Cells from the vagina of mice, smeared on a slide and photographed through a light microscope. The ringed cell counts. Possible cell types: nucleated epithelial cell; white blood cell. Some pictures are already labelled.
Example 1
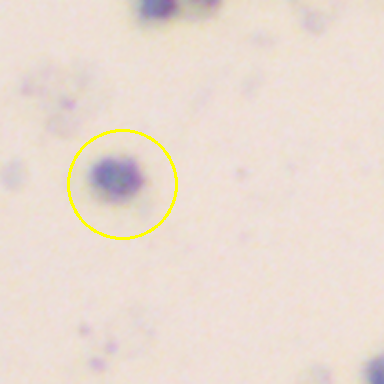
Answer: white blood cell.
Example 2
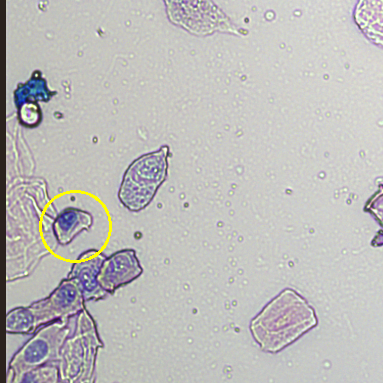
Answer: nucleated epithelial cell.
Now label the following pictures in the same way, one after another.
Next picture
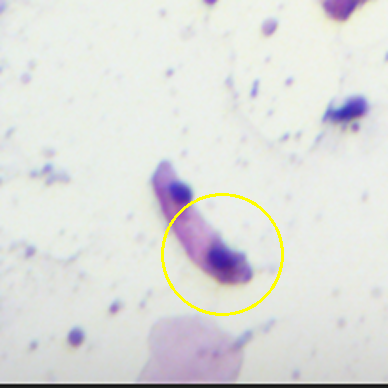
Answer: nucleated epithelial cell.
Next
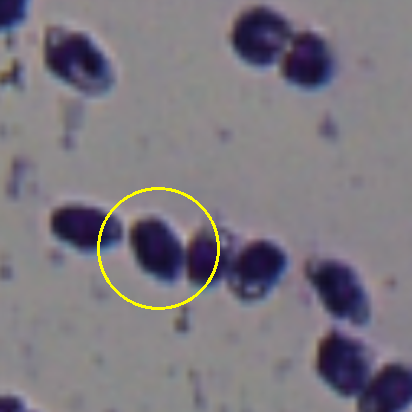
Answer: white blood cell.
